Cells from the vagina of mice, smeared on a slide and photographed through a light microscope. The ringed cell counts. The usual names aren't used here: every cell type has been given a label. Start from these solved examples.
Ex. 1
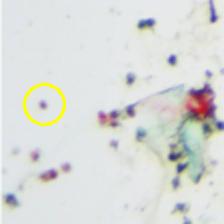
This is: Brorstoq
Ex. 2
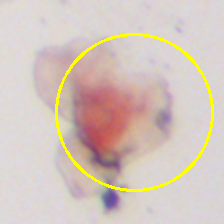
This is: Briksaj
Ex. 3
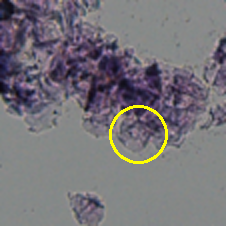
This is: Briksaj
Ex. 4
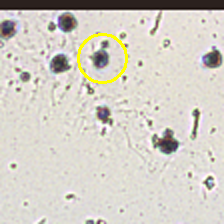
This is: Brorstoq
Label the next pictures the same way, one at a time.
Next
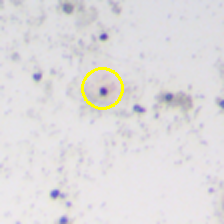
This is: Brorstoq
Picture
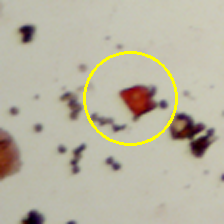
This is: Briksaj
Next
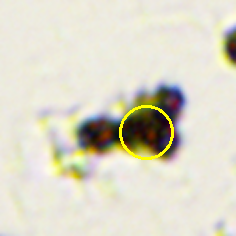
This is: Brorstoq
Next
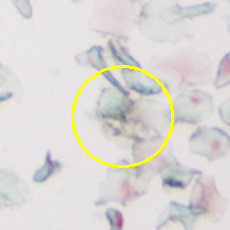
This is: Briksaj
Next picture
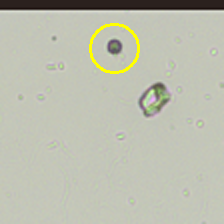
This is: Brorstoq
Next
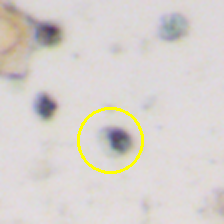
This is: Brorstoq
